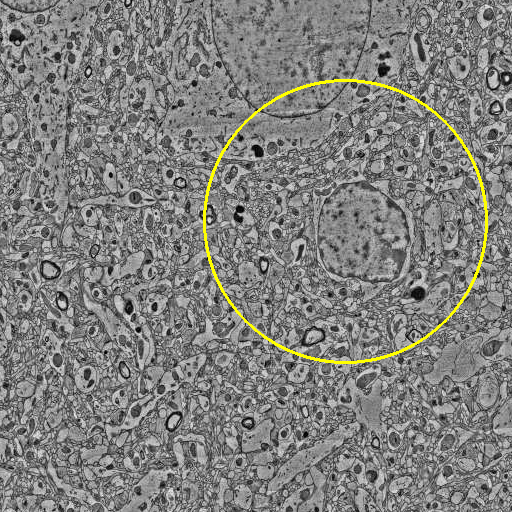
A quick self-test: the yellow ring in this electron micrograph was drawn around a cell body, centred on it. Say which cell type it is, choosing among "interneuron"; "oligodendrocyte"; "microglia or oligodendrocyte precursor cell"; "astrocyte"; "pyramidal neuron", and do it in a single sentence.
The yellow-ringed cell is a microglial cell or oligodendrocyte precursor cell.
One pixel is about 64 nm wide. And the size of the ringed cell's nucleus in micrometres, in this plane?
Approximately 6 micrometres across, in this plane.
